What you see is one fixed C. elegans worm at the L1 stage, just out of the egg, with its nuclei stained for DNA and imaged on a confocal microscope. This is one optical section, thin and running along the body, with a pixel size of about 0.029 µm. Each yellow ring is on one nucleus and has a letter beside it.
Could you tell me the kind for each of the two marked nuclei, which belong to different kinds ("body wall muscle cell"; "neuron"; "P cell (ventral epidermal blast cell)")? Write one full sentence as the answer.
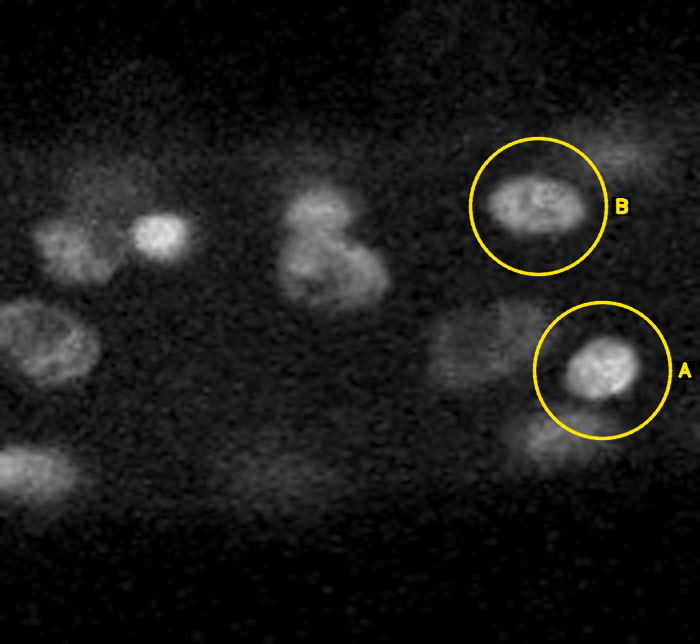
The nucleus A is that of a neuron, while B is that of a P cell (ventral epidermal blast cell).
